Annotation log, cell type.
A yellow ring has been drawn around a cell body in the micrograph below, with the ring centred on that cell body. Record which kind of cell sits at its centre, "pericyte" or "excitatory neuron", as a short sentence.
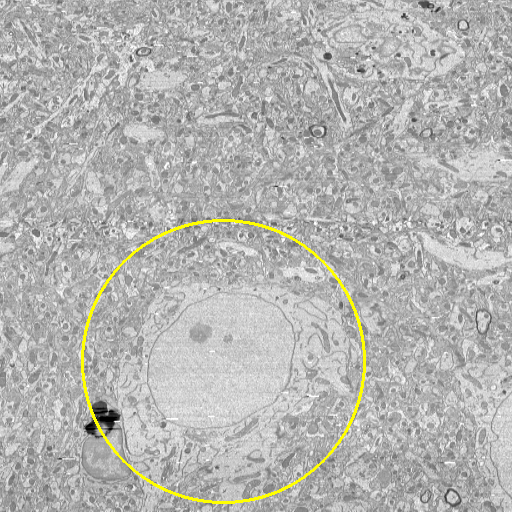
The cell at the centre of this ring is an excitatory neuron.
